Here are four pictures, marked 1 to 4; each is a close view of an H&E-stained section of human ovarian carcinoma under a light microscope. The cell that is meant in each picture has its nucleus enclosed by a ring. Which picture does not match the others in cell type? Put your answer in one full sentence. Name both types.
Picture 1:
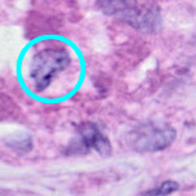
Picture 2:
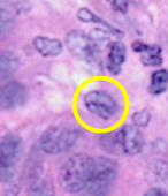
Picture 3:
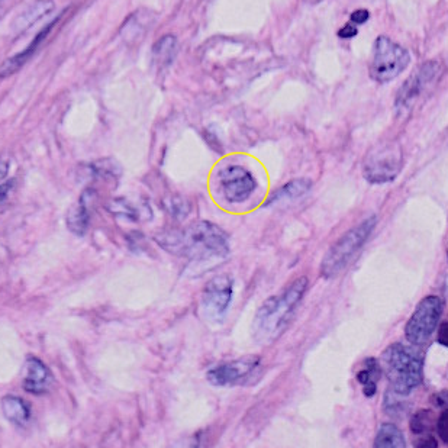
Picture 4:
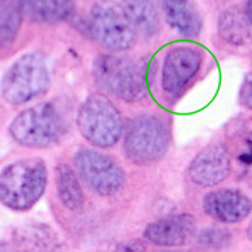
Unlike the rest, which show “macrophages or monocytes”, picture 4 shows a carcinoma cell.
